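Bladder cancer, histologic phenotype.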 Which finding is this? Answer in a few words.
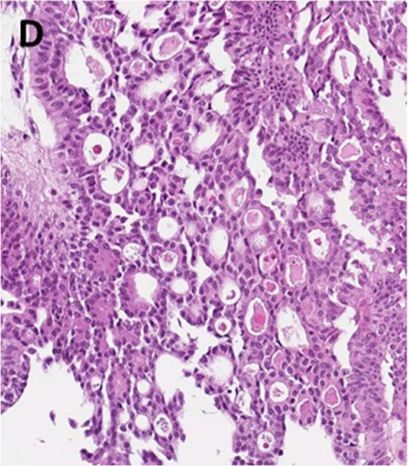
Glandular differentiation.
